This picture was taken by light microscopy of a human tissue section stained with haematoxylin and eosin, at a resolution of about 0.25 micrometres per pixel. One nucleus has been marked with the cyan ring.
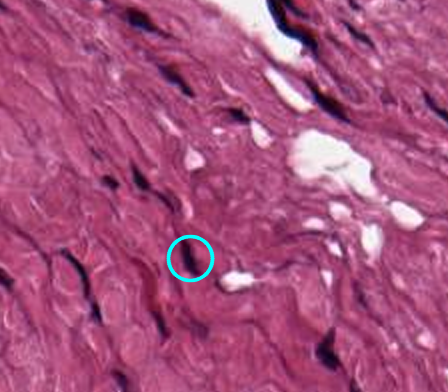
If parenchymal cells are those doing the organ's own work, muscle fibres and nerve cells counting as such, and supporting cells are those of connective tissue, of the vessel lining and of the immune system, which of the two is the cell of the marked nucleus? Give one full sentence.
Housed within a supporting cell is the marked nucleus.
